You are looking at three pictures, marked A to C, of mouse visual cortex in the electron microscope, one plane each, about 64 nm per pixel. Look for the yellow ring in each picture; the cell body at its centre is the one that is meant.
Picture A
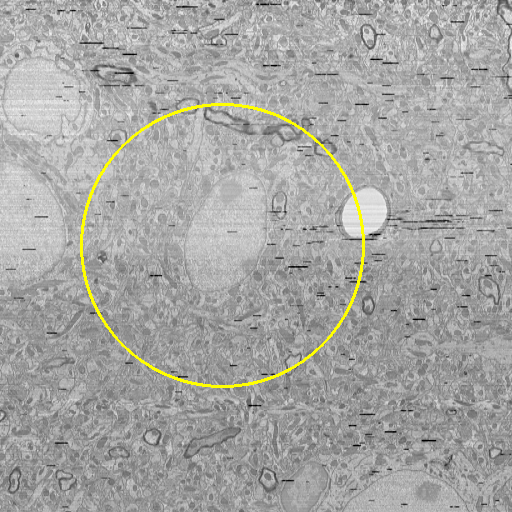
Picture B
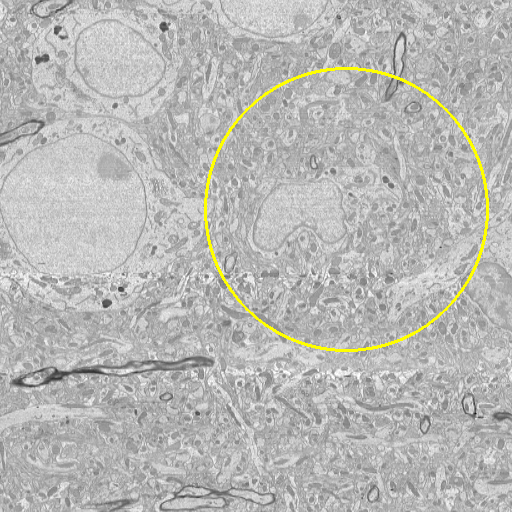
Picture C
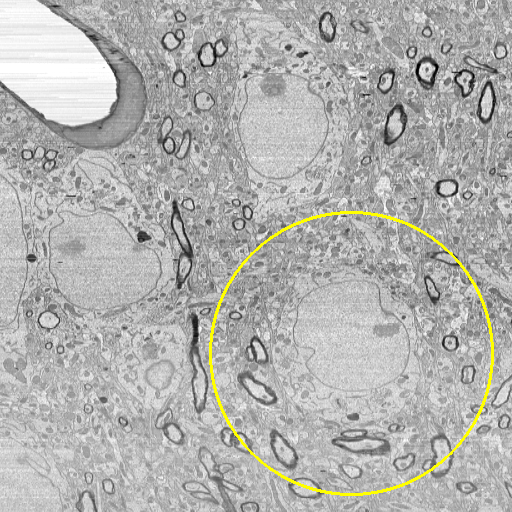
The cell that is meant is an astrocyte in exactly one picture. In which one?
The picture with the astrocyte is A.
